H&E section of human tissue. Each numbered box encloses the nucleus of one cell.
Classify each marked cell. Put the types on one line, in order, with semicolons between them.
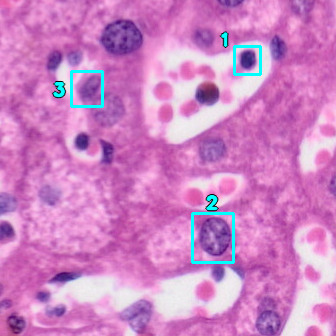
lymphocyte; hepatocyte; Kupffer cell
